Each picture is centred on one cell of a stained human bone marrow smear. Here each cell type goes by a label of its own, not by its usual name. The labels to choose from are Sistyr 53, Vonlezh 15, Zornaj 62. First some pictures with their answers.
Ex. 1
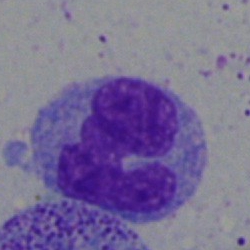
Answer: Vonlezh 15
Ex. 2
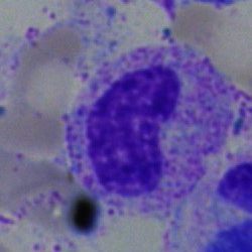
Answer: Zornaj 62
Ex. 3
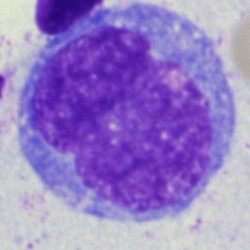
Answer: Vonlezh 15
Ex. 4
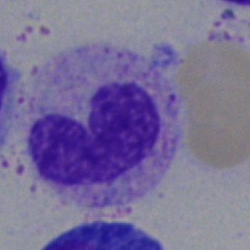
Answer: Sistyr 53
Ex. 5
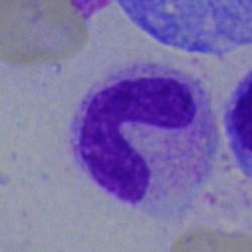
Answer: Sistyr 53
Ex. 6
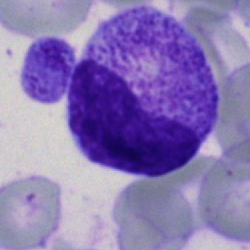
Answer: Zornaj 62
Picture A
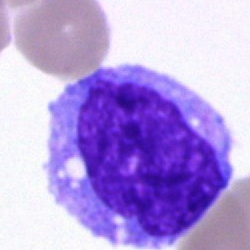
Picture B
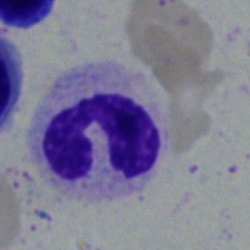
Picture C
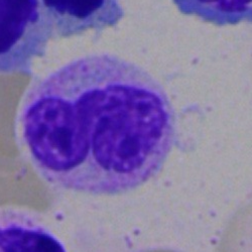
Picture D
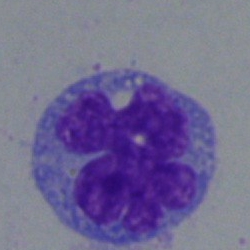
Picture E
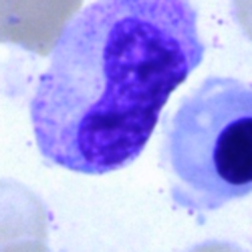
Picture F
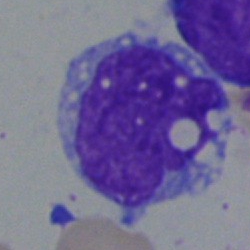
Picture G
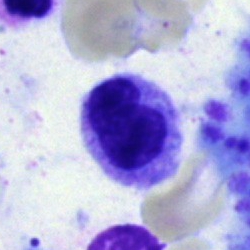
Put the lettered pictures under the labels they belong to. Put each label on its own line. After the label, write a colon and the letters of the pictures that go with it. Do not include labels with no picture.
Sistyr 53: B, C, E
Vonlezh 15: A, D, F
Zornaj 62: G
